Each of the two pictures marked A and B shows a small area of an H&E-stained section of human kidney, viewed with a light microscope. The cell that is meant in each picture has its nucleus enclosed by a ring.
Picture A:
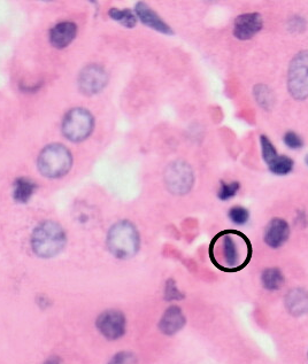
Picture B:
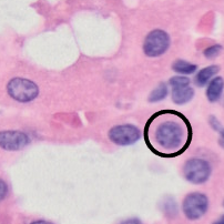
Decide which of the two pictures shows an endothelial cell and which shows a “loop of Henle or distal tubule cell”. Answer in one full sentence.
Picture A is of an endothelial cell, and picture B is of a “loop of Henle or distal tubule cell”.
